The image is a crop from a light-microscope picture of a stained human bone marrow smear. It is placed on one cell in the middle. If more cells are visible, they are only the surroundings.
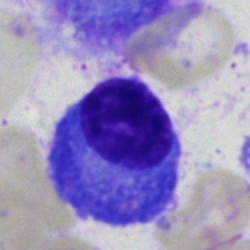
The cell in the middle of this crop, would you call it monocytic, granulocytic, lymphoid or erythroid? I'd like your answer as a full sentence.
The cell at the middle of the crop is designated as lymphoid in lineage.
